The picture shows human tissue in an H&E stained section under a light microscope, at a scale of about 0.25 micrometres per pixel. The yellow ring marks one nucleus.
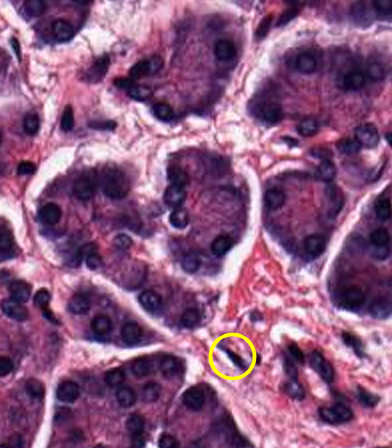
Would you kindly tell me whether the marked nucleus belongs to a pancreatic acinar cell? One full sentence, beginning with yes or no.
No, the marked nucleus belongs to a supporting cell, not to a pancreatic acinar cell.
